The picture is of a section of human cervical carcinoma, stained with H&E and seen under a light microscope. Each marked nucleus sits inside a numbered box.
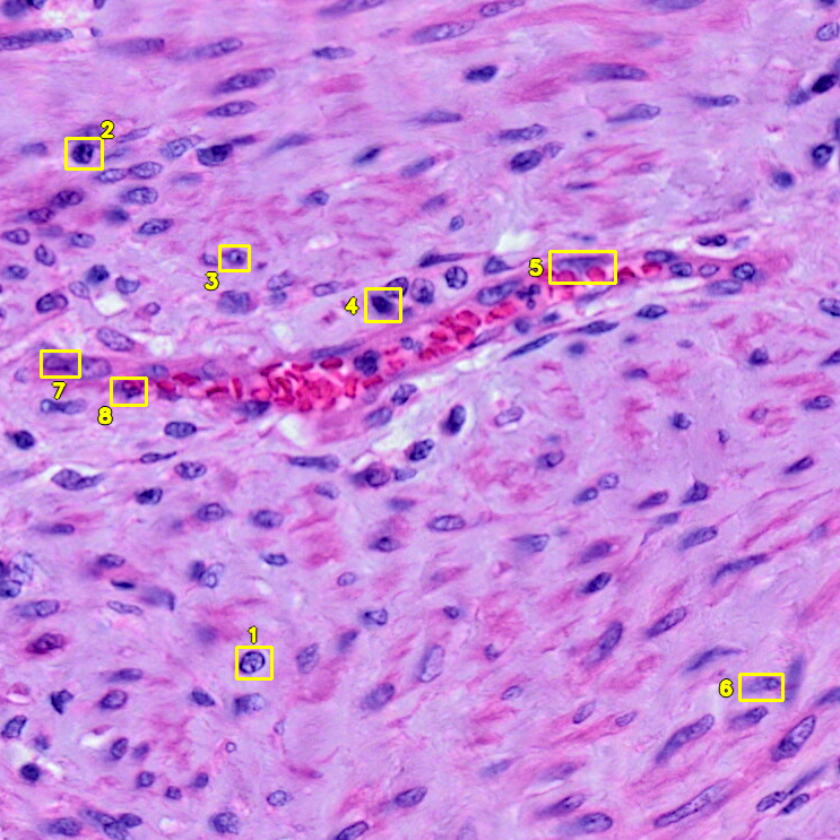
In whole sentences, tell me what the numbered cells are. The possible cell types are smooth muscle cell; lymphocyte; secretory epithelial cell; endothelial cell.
Cell 1 is a lymphocyte, cell 2 is a lymphocyte, cell 3 is a smooth muscle cell, cell 4 is a lymphocyte, cell 5 is an endothelial cell, cell 6 is a smooth muscle cell, cell 7 is an endothelial cell and cell 8 is an endothelial cell.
